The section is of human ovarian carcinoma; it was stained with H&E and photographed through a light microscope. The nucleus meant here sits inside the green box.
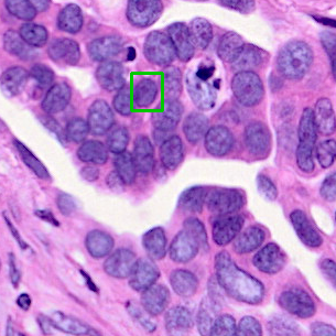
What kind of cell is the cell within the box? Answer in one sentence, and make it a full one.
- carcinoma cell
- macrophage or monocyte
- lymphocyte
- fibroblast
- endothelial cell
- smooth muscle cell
As far as its identity is concerned, the cell within the box is a carcinoma cell.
